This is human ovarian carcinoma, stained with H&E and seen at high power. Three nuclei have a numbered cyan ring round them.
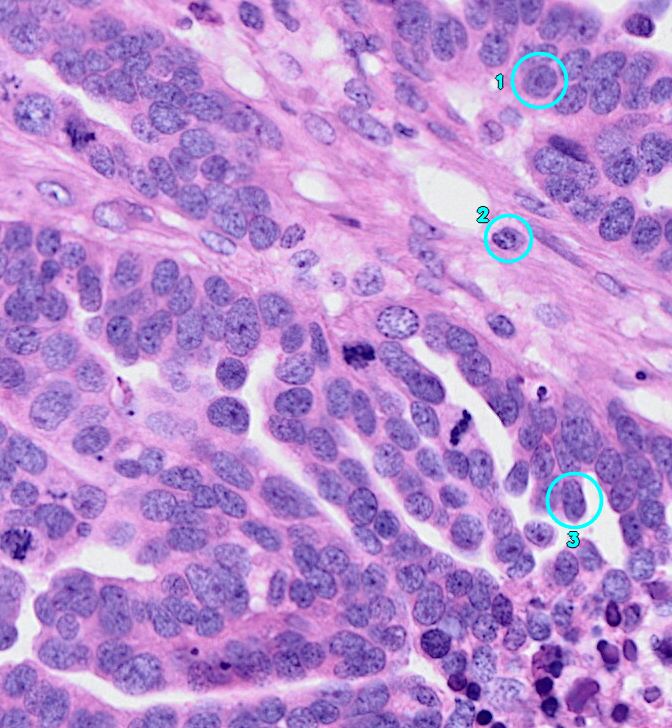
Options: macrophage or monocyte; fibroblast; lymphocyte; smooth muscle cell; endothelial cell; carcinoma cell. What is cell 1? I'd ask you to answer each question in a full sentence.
The cell to which the number 1 is assigned is a carcinoma cell.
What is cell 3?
Number 3 is placed on a carcinoma cell here.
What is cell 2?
Cell 2 should be recorded as a macrophage or monocyte.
